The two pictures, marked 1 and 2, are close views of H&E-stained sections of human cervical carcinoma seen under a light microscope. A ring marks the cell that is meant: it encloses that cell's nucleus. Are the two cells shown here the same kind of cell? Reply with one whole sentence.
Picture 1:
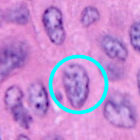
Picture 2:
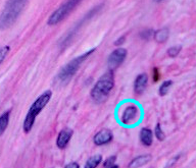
No, the types are not the same, since picture 1 shows a squamous carcinoma cell and picture 2 a smooth muscle cell.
